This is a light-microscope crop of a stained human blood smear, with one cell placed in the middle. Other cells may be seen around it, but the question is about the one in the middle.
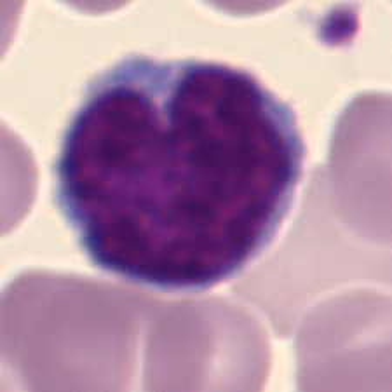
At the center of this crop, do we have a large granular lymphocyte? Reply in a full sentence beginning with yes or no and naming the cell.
No, the central cell is identified not as a large granular lymphocyte but as a typical lymphocyte.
